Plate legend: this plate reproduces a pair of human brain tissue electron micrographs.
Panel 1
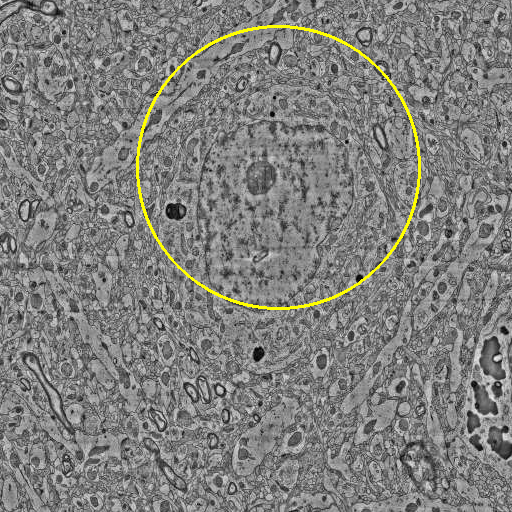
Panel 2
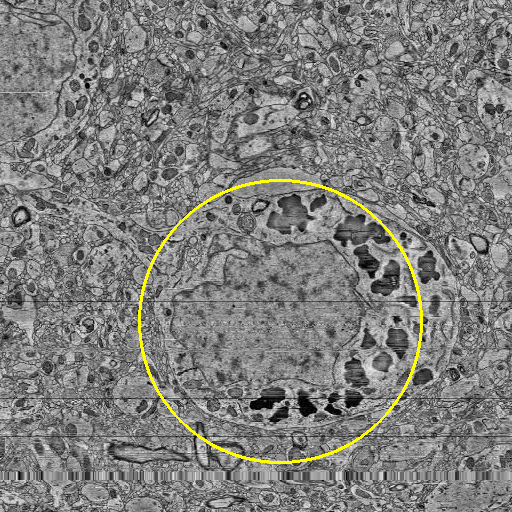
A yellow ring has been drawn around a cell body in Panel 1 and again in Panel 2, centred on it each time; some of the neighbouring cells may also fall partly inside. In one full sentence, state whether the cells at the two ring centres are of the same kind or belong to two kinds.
The ring-centred cells of Panel 1 and Panel 2 are of the same kind.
